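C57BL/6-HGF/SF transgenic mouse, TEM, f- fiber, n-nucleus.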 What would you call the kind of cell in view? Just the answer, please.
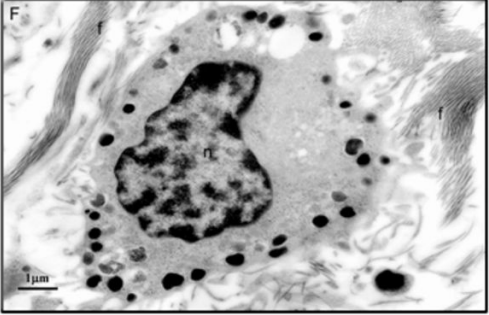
Melanocytes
